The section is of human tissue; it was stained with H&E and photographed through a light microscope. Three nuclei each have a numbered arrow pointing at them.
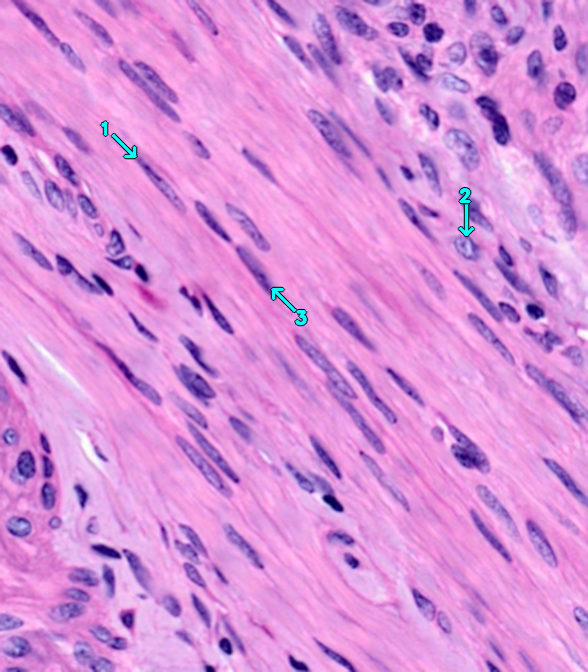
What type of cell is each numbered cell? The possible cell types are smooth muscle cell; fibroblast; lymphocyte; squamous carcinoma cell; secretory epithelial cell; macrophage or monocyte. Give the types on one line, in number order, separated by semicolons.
fibroblast; smooth muscle cell; fibroblast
